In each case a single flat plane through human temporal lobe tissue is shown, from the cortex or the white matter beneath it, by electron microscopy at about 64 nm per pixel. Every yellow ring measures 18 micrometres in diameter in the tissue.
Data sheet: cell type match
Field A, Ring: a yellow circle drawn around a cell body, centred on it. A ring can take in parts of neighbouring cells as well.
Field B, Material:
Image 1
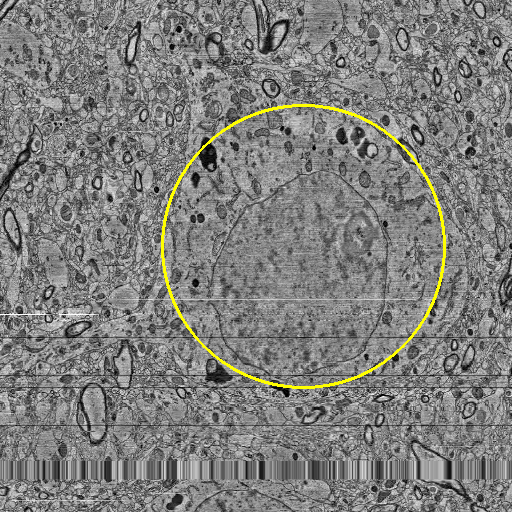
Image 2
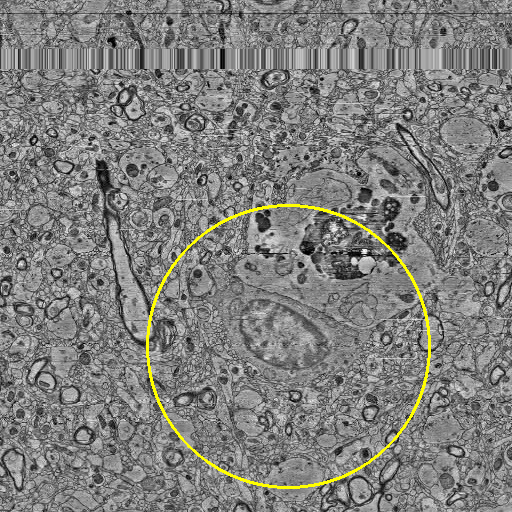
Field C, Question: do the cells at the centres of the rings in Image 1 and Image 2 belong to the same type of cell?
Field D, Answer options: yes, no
no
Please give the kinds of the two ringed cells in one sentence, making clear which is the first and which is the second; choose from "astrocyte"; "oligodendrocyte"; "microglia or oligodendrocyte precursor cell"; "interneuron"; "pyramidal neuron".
In the second picture the ringed cell is an oligodendrocyte; in the first it is a pyramidal neuron.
